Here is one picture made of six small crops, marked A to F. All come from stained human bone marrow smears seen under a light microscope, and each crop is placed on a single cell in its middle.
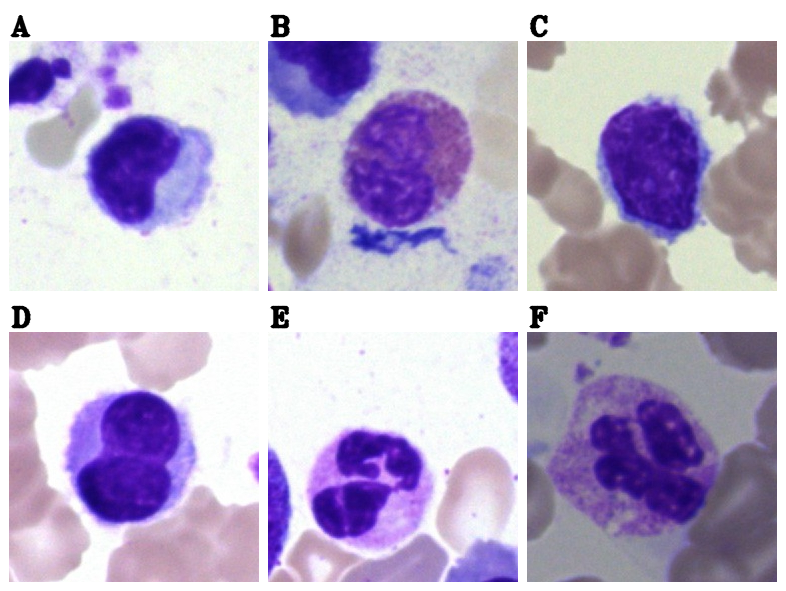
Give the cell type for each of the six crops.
A: metamyelocyte
B: basophil
C: lymphocyte
D: hairy cell
E: segmented neutrophil
F: segmented neutrophil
